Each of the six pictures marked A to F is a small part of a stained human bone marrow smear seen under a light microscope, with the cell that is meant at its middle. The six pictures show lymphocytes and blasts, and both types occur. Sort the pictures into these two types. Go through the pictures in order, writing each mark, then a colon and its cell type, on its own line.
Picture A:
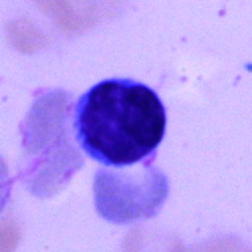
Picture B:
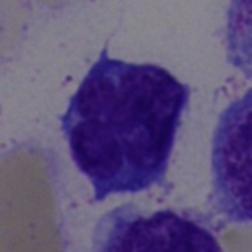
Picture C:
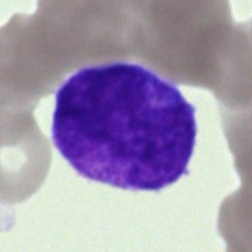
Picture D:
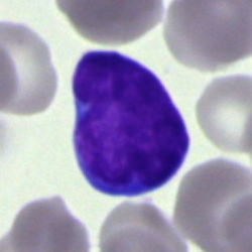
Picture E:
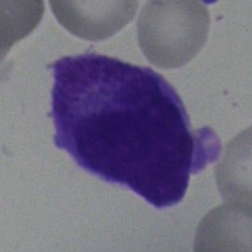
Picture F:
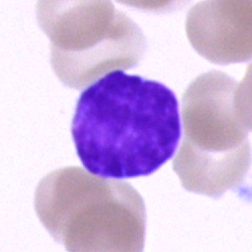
A: lymphocyte
B: blast
C: blast
D: blast
E: blast
F: lymphocyte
